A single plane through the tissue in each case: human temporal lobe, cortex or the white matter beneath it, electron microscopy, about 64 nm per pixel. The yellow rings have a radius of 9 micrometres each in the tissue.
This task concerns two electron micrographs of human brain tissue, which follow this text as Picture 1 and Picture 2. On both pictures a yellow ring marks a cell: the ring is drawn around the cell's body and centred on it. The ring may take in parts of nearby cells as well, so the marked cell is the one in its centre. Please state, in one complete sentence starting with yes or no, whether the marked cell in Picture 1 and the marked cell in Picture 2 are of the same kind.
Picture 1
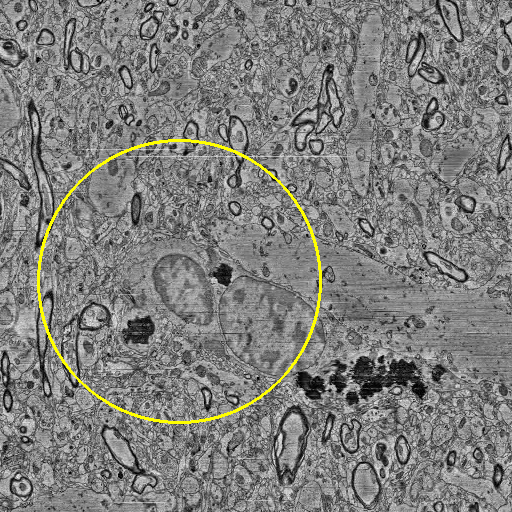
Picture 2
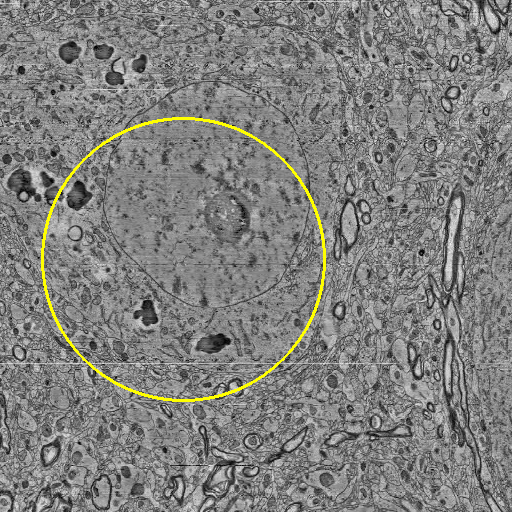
No, the marked cells in the two pictures are of two kinds.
